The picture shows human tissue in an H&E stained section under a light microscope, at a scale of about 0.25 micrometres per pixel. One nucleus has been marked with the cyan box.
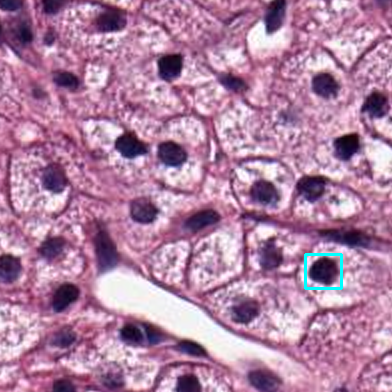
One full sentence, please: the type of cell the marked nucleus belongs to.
The marked nucleus is located in an adrenal cortical cell.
